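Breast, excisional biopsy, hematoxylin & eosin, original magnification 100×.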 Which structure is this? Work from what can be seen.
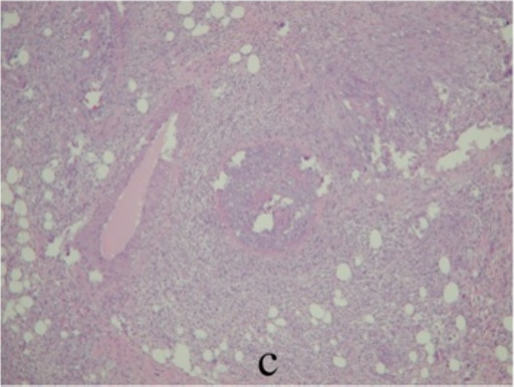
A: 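A small vessel with the lumen obliterated. Dense cellular infiltrate surrounds and fills the round structure.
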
